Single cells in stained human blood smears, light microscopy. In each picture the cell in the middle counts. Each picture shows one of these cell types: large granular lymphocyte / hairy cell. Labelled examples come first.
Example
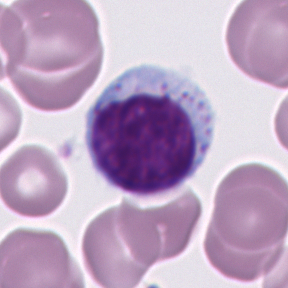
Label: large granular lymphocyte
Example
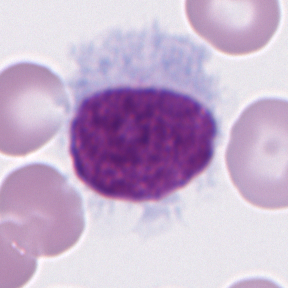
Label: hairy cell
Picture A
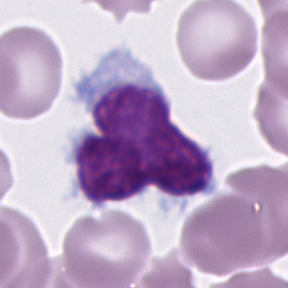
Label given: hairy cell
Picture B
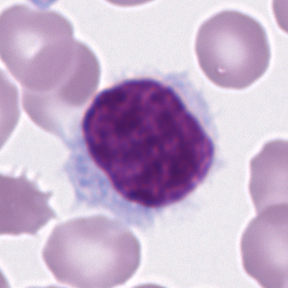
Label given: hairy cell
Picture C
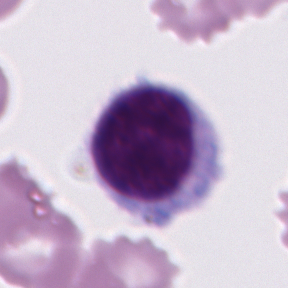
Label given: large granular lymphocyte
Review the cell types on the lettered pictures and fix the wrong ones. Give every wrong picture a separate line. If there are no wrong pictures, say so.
C: hairy cell, not large granular lymphocyte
